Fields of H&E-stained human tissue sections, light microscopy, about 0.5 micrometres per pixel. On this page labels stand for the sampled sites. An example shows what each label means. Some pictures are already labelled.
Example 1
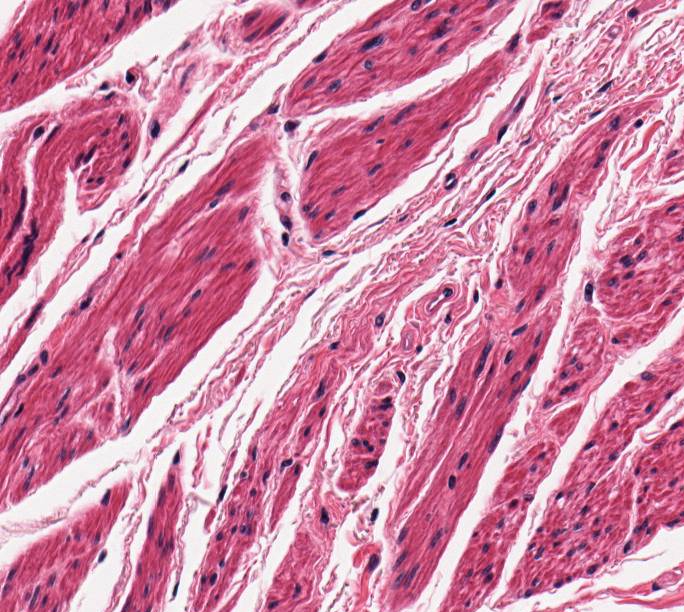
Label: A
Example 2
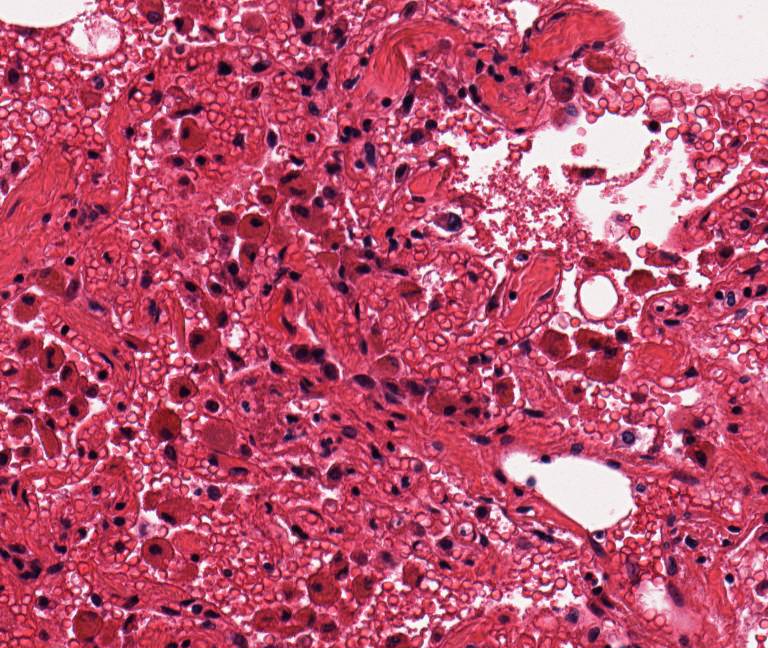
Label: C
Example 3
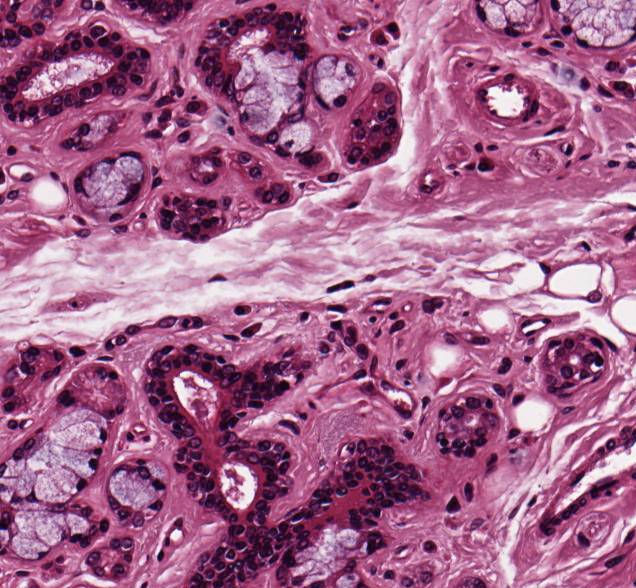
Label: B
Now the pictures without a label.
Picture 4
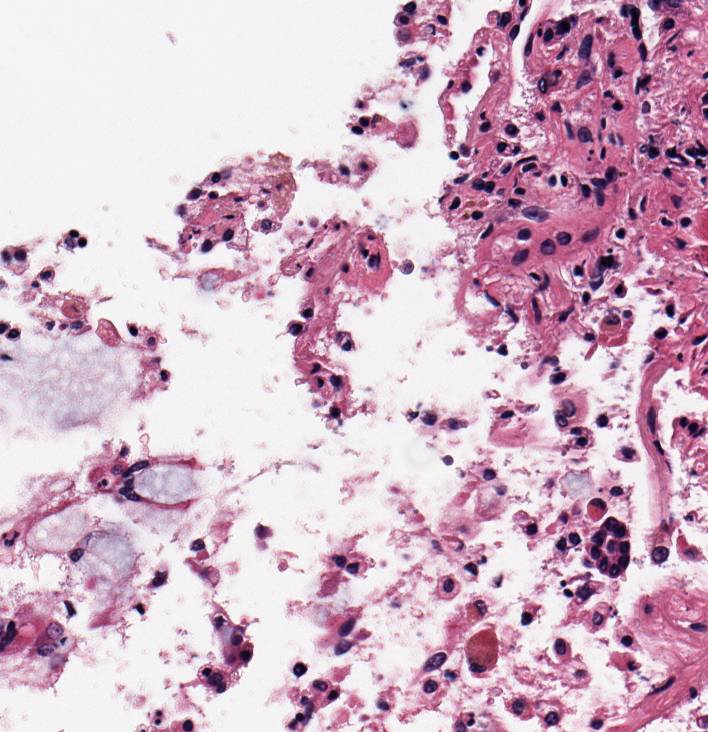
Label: C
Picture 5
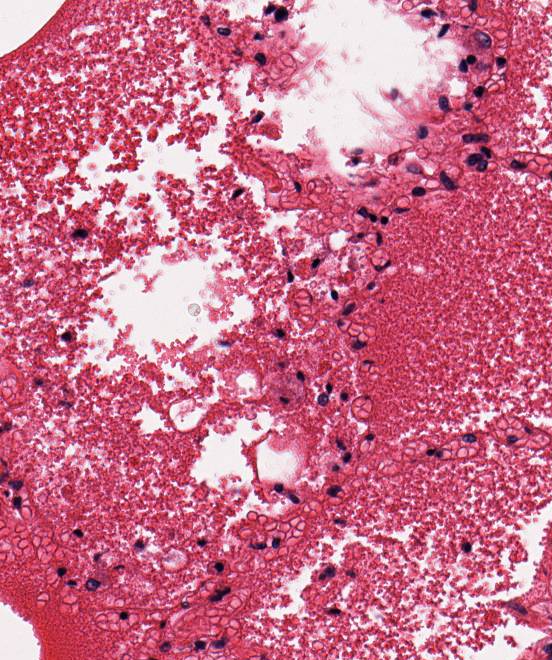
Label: C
